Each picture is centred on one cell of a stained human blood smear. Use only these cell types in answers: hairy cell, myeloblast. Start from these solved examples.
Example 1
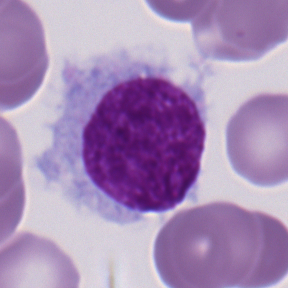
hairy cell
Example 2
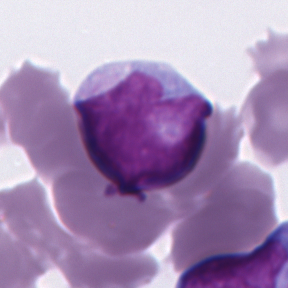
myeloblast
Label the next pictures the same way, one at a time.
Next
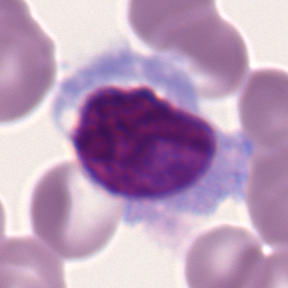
hairy cell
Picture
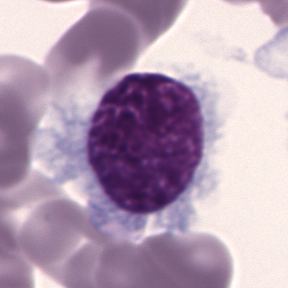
hairy cell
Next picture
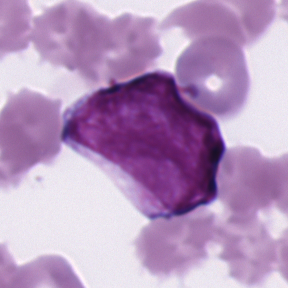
myeloblast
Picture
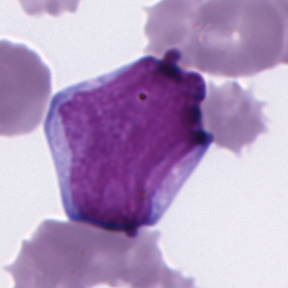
myeloblast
